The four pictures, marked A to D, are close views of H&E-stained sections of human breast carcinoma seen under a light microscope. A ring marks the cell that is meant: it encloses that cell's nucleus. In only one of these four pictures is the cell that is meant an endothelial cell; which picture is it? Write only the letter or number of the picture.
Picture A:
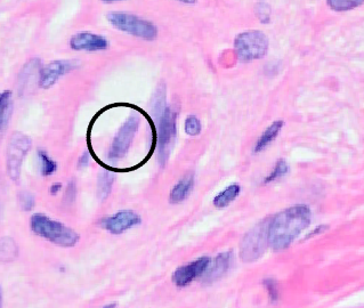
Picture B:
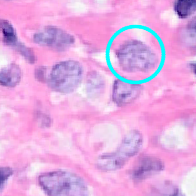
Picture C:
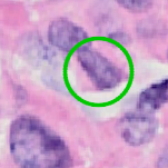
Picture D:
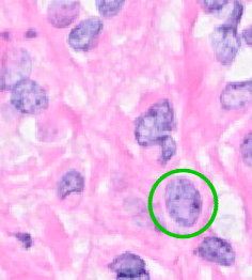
A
